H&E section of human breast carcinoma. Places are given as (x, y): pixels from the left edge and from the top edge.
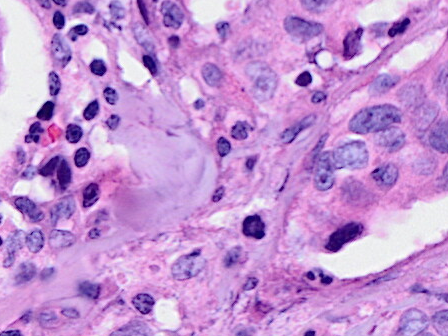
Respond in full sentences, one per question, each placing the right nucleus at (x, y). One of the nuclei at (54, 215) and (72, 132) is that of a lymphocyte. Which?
Out of the two, it is the nucleus at (72, 132) that belongs to a lymphocyte.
